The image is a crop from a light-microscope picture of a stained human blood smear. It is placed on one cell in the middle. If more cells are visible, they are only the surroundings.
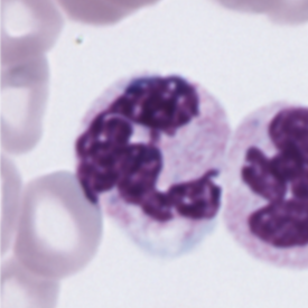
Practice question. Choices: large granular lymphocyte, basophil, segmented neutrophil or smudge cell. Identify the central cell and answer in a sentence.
In the centre of this crop there is a segmented neutrophil.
